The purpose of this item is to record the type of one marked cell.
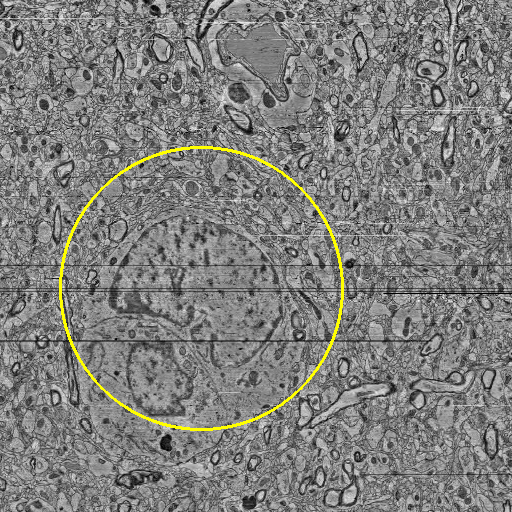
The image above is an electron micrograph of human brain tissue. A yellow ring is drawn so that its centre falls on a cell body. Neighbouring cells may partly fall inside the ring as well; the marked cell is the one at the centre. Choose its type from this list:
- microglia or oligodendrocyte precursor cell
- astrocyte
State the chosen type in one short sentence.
What the ring marks here is a microglial cell or oligodendrocyte precursor cell.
